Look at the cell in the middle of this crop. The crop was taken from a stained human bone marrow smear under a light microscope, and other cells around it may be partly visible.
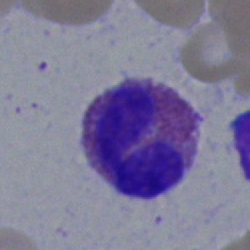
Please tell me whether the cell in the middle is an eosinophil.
yes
